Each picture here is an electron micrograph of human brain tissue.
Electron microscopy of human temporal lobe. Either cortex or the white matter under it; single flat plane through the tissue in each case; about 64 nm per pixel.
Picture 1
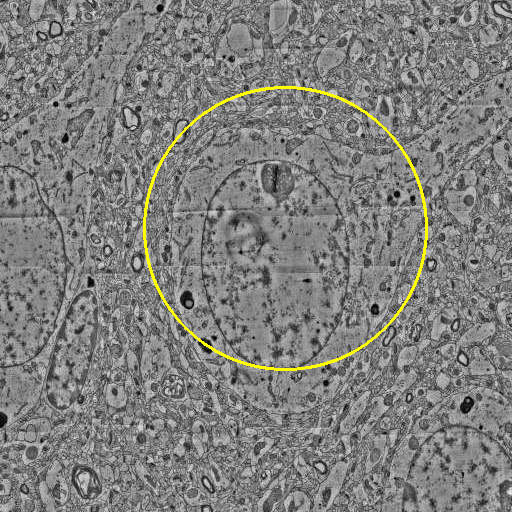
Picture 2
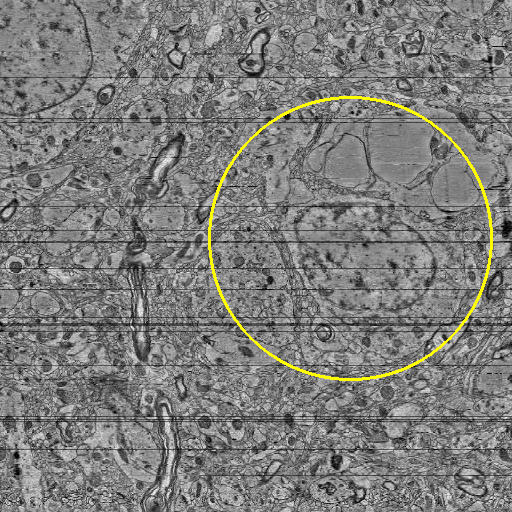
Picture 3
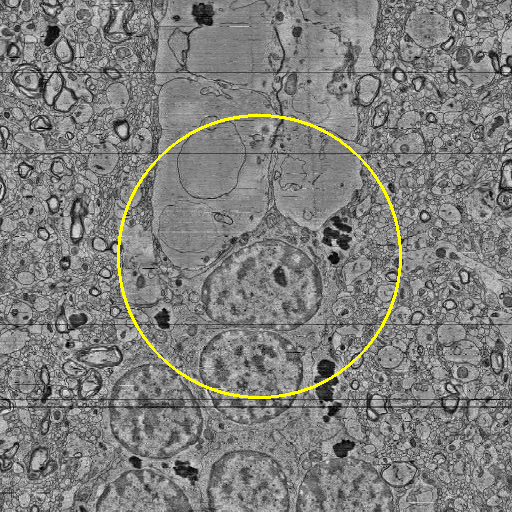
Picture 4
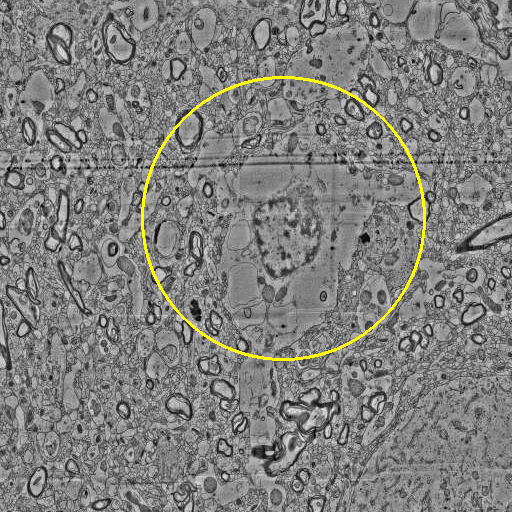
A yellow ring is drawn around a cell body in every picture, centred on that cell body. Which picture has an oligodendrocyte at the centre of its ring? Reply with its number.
3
